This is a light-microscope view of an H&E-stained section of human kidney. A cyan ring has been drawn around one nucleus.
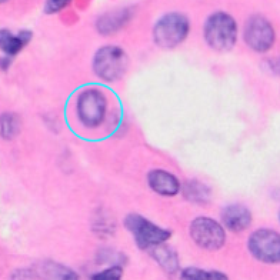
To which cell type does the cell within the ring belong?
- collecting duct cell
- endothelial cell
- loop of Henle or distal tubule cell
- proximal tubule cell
collecting duct cell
